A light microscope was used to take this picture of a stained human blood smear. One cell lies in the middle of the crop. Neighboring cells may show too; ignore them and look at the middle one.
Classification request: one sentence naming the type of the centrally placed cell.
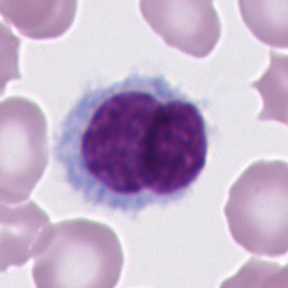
Regarding the central cell, it is a hairy cell.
